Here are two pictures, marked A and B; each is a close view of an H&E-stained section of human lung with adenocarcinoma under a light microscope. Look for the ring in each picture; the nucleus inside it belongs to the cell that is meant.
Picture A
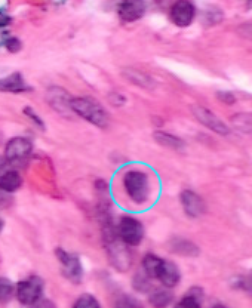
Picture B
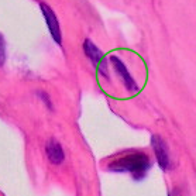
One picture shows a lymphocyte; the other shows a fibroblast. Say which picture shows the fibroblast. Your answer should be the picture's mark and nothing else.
B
